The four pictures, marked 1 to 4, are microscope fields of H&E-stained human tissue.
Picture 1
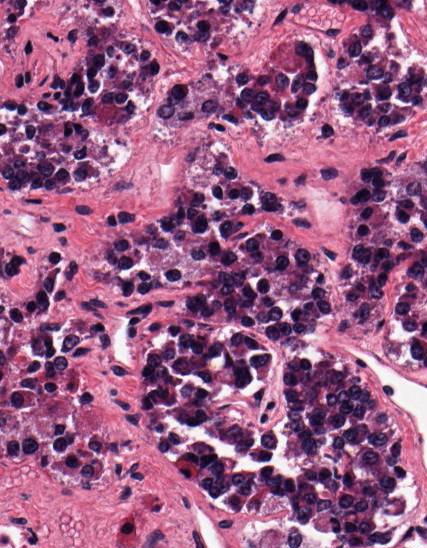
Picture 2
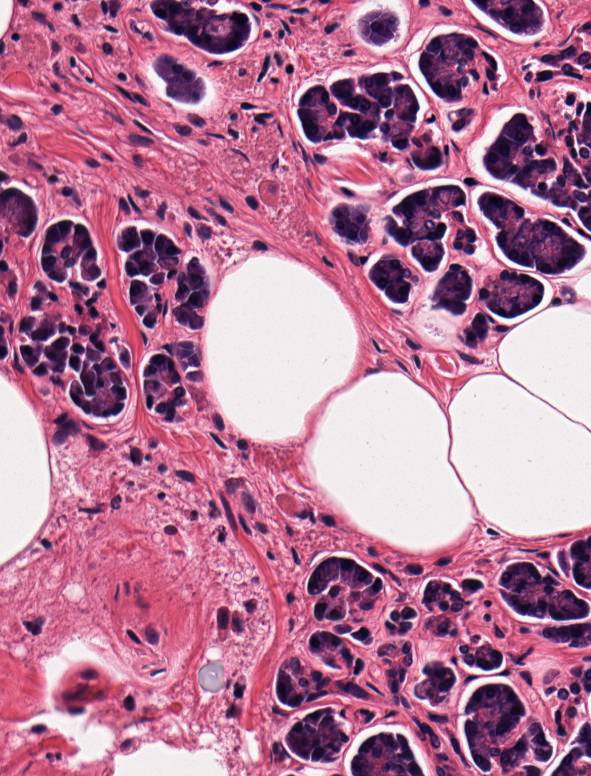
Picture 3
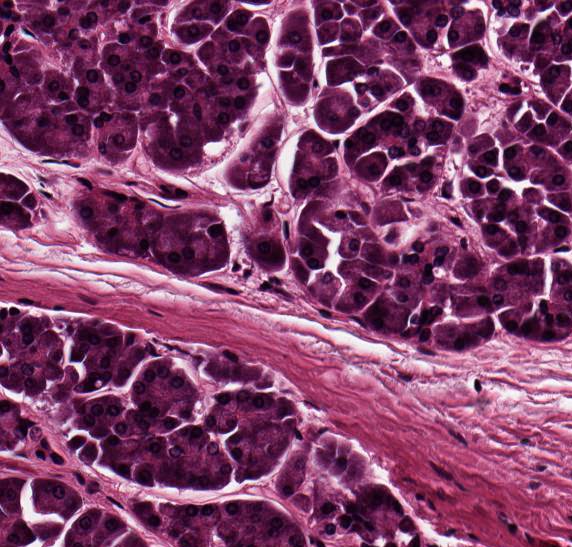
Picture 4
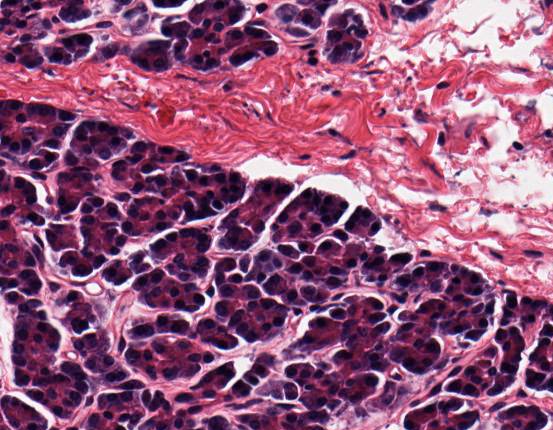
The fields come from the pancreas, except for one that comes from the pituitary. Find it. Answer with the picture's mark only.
1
